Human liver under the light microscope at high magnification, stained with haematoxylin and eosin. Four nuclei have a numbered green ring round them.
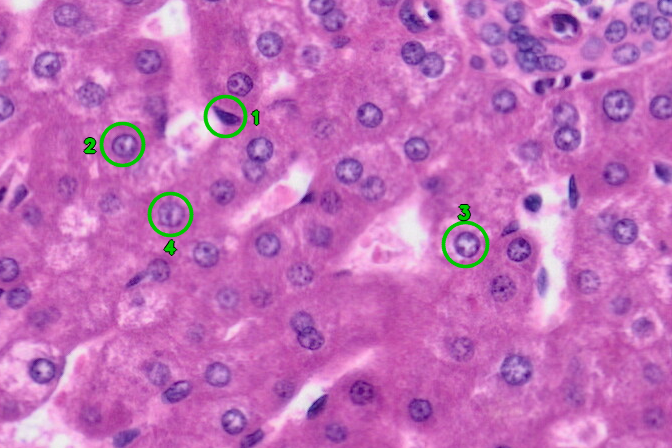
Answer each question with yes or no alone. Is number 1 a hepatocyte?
no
